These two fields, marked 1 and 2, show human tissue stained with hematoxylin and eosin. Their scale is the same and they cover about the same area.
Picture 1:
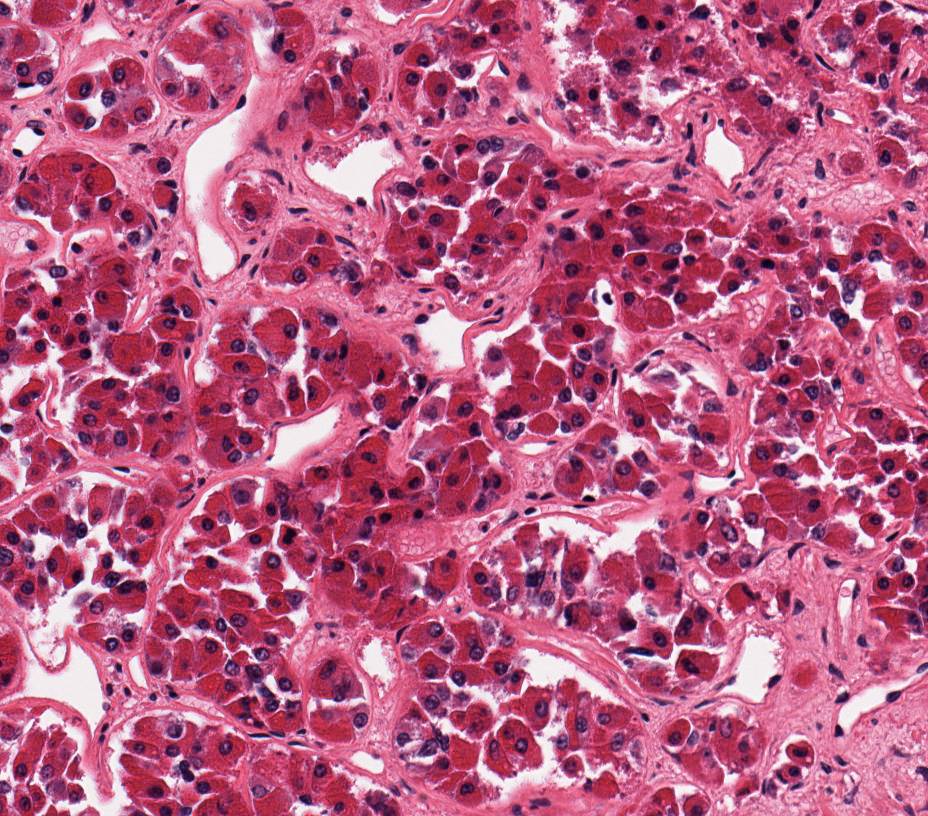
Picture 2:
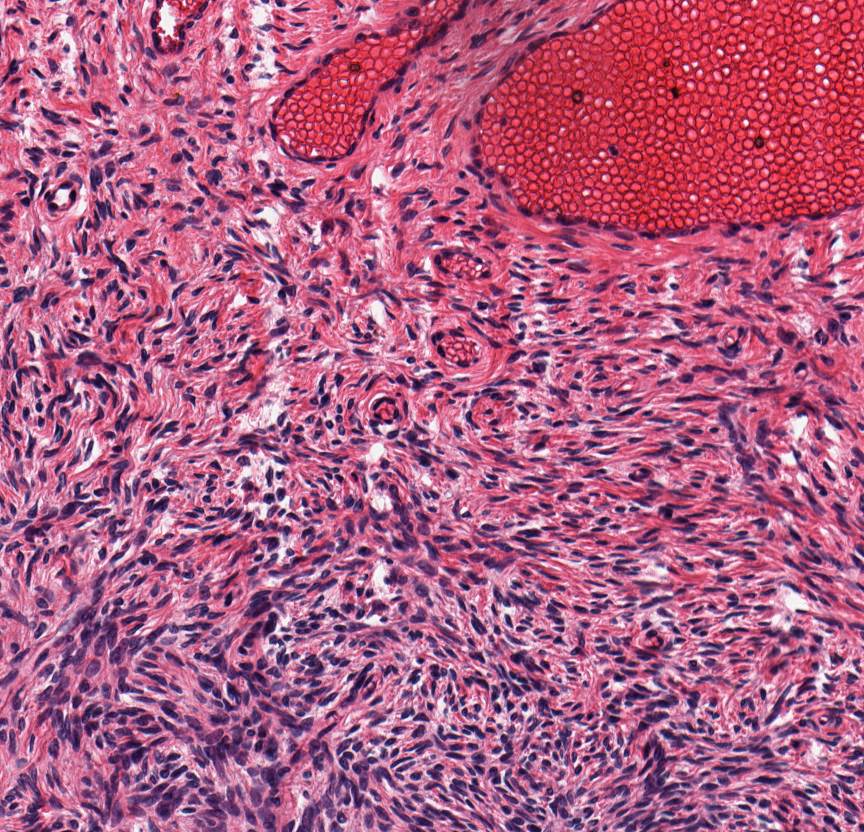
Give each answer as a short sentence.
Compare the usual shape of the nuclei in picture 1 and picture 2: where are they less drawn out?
The nuclei are rounder in picture 1.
